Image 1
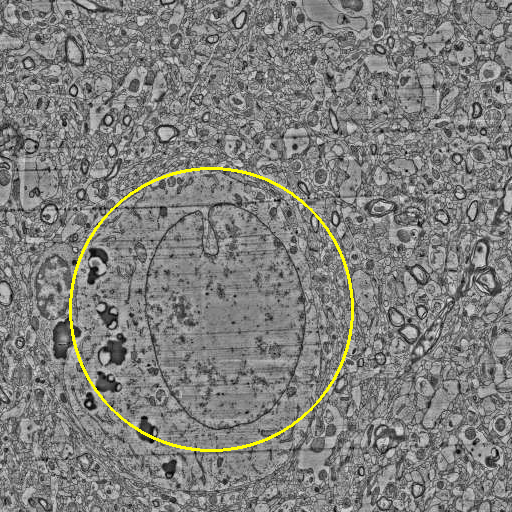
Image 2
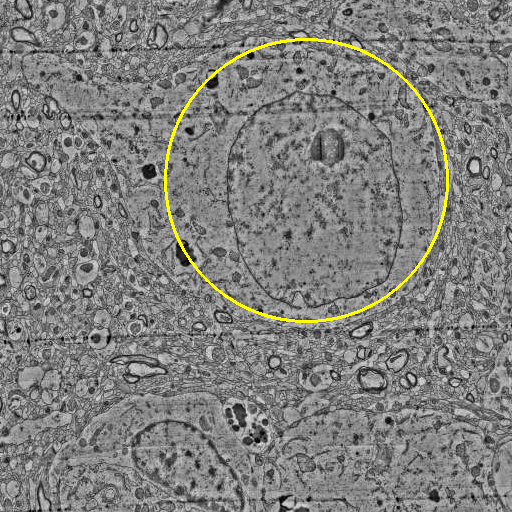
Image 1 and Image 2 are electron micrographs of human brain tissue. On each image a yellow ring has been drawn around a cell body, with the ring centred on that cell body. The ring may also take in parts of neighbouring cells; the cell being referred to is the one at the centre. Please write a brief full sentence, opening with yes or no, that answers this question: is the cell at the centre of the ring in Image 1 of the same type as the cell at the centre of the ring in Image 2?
Yes, both cells are of the same type.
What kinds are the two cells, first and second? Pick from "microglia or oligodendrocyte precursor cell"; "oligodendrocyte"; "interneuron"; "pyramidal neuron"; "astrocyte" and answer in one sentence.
Both cells are the same kind, each one being a pyramidal neuron.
